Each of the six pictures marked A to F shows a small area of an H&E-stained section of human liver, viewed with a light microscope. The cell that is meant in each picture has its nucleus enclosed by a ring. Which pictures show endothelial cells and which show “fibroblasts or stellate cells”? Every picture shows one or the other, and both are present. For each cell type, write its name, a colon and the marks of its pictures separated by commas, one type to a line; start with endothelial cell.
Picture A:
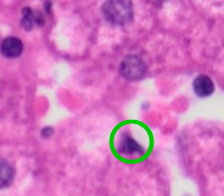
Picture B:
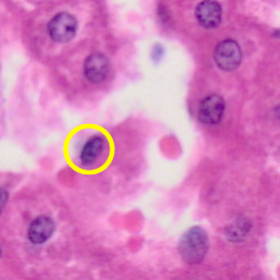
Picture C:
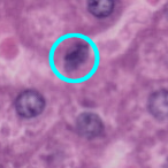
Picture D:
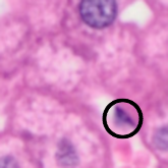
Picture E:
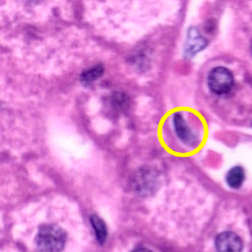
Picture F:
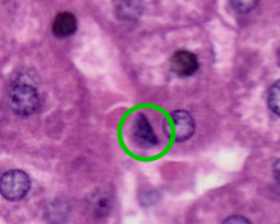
endothelial cell: C, D, E
fibroblast or stellate cell: A, B, F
